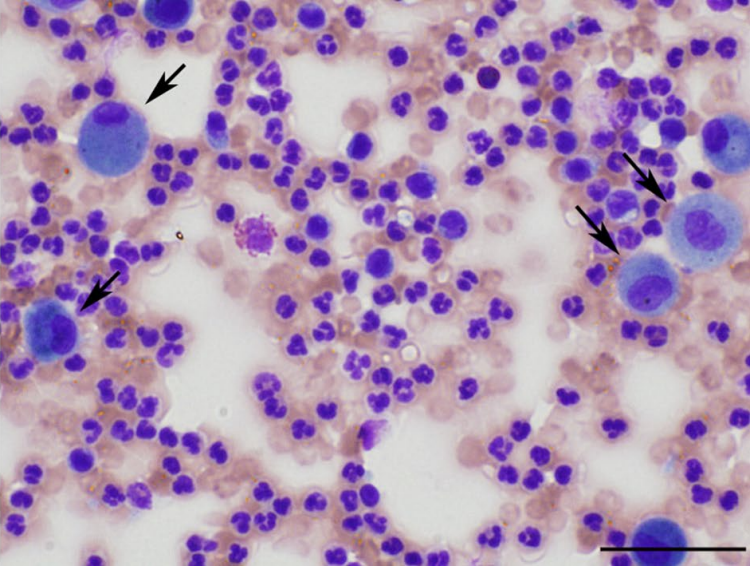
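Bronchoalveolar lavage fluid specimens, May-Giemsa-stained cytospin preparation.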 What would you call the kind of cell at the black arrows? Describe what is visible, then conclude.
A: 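The arrowed cells are much larger than the surrounding cells. They have abundant pale blue cytoplasm. Each has a single round to oval nucleus. So: macrophages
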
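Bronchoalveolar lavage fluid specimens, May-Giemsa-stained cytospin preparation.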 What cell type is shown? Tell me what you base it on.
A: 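Most nucleated cells are small with dark purple lobed or segmented nuclei. These cells are scattered in large numbers across the field.
Hence: neutrophils.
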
